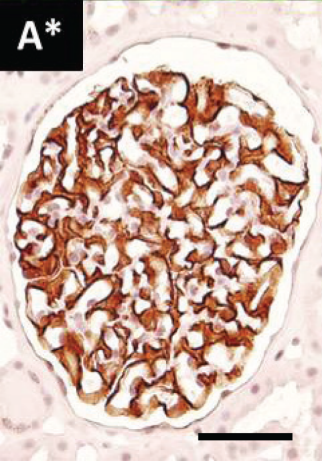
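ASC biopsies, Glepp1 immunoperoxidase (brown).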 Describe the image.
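Brown stain outlines the capillary loops throughout the tuft, tracing a dense, lace-like network of open, rounded lumens, with darker lines along the outer edges of the loops. Small bluish nuclei lie between the loops. Around the glomerulus, tubules with pale pink cytoplasm and round blue nuclei are unstained, so the brown stain is confined to the tuft.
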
